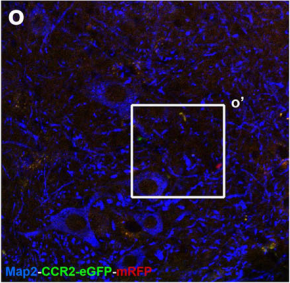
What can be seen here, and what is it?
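Several large, rounded nerve cell bodies are outlined in blue, and a dense tangle of blue processes runs through the whole field in many directions. Between them, very little red or green is present: only faint, scattered specks, with no clearly bright labelled cells. The background has a dim brownish tone. The picture is dominated by the neurons and their branches, with few other cells standing out.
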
